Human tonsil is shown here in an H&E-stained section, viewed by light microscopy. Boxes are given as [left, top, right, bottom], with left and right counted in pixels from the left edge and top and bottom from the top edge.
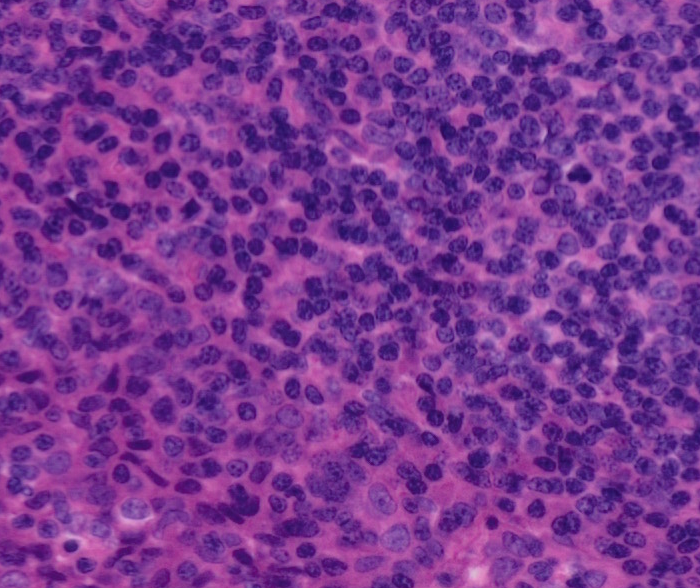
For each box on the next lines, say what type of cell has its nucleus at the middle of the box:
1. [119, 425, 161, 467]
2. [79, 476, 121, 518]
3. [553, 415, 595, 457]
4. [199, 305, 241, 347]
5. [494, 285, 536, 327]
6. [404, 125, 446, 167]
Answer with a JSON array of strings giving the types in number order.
["squamous epithelial cell", "squamous epithelial cell", "small lymphocyte", "plasma cell", "proliferating B cell", "small lymphocyte"]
